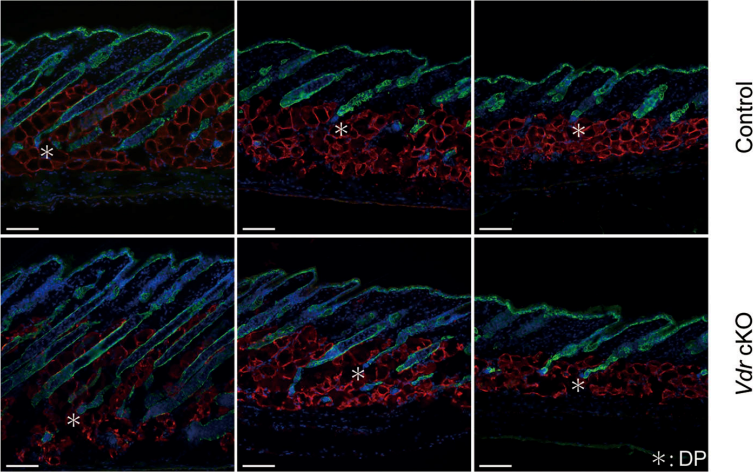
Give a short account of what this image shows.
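Sections of skin with elongated hair follicles outlined in green. The follicles run obliquely down from the green-lined surface. Beneath them lies a thick layer of large polygonal fat cells whose borders are drawn in red, and the lower ends of the follicles reach into this fat layer. Blue nuclei are scattered through the dermis and crowd along the follicles.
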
